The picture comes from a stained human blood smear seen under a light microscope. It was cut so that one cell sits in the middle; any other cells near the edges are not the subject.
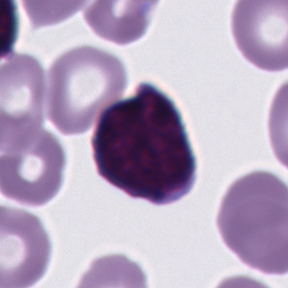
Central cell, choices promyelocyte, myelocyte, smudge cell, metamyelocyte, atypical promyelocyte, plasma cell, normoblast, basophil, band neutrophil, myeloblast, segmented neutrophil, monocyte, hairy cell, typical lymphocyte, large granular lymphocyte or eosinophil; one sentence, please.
The cell of interest, in the center, is a myeloblast.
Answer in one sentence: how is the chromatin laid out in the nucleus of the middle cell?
Just so you know, its chromatin is coarsely clumped.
